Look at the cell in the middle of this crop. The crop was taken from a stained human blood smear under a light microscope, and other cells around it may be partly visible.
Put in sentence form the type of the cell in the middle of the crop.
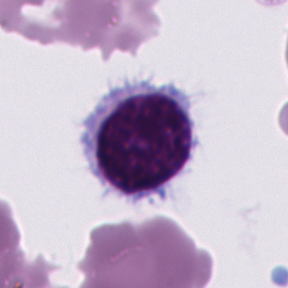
In short, the cell at the center is a hairy cell.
